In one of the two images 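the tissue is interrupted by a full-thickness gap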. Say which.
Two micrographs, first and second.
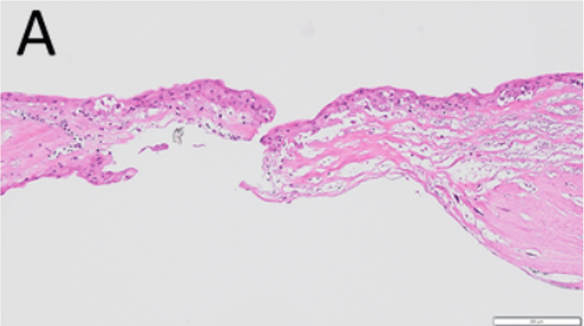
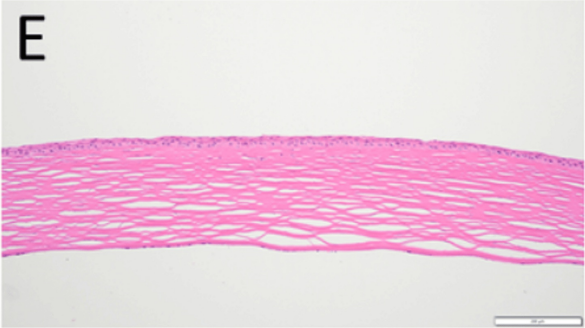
the first image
